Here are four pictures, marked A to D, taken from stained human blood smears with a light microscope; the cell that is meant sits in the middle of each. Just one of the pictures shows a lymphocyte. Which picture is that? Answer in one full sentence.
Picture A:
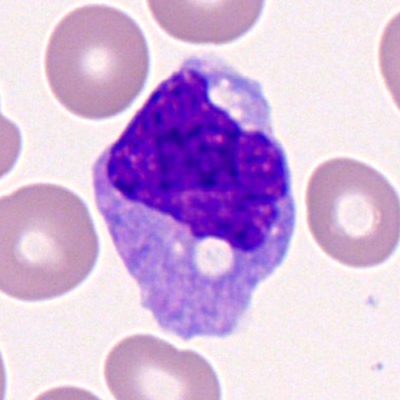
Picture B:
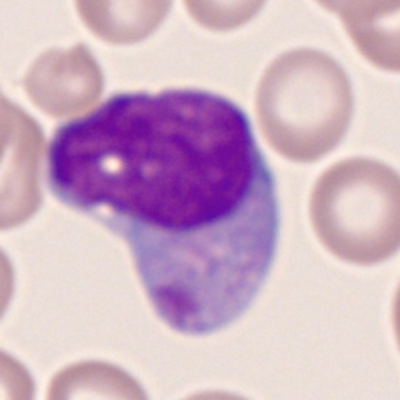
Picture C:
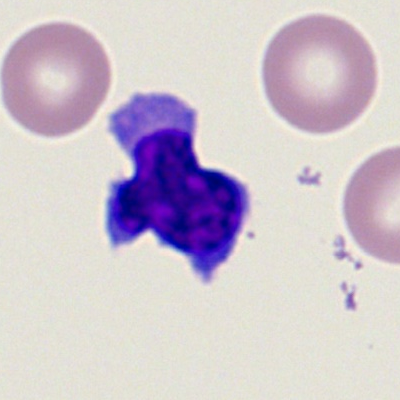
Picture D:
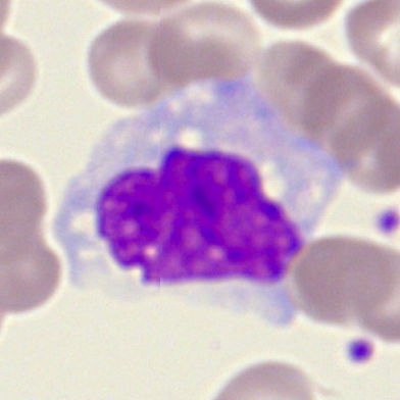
It is picture C that shows the lymphocyte.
